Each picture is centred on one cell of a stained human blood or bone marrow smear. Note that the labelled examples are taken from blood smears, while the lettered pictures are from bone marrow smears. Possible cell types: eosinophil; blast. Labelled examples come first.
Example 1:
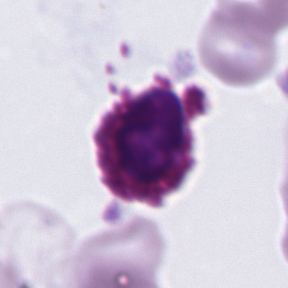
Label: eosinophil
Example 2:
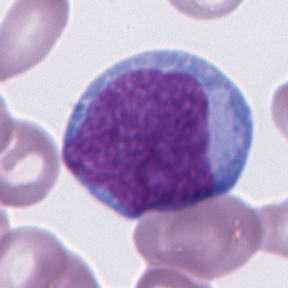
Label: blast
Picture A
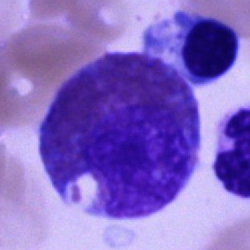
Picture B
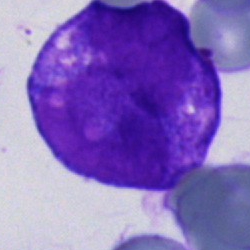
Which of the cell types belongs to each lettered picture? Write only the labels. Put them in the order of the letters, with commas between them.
eosinophil, blast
